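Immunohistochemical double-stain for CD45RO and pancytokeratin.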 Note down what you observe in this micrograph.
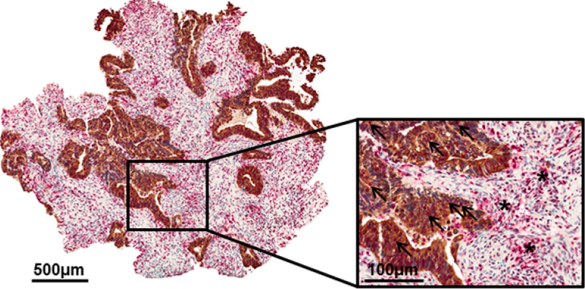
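Many small red-stained cells are scattered densely through the stroma across the whole section. In the enlarged view these small cells cluster in the stroma beside the glands, and some lie between the tall brown epithelial cells. The stroma also contains spindle-shaped cells with blue nuclei.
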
